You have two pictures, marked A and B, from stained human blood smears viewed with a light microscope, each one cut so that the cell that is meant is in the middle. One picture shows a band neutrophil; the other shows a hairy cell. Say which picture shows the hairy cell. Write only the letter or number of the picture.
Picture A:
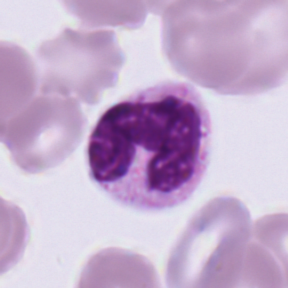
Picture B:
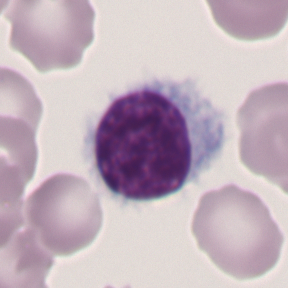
B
